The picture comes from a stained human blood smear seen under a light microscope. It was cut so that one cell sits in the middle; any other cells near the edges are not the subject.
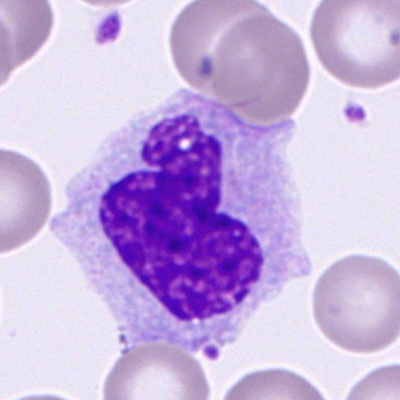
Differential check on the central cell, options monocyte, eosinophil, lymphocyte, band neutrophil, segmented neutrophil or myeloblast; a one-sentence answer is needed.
In this crop, the cell at the very middle is a monocyte.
